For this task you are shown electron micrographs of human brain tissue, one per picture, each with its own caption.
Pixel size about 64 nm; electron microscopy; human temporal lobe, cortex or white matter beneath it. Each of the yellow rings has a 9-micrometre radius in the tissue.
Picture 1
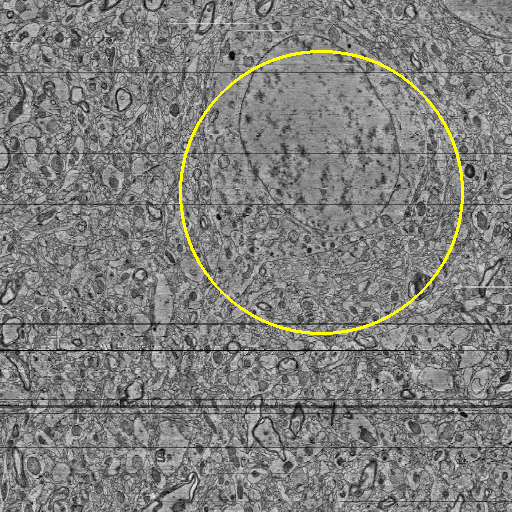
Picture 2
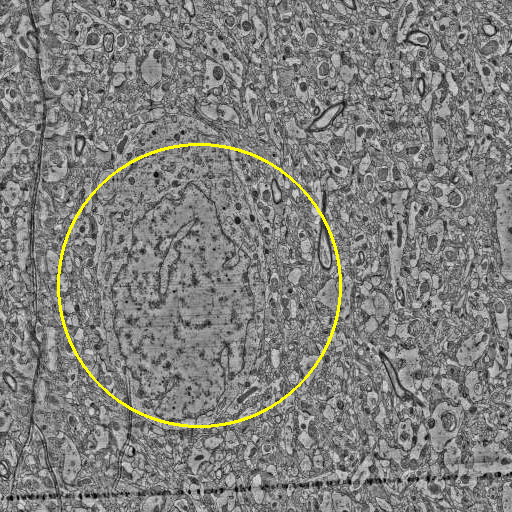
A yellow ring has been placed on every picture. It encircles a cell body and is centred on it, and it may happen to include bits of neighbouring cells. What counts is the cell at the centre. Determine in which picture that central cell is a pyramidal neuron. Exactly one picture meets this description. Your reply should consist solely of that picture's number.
1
